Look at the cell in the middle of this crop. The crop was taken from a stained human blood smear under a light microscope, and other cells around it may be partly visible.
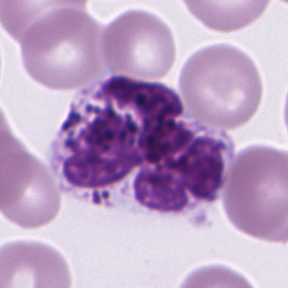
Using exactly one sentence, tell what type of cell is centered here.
The cell in the middle of the field of view is a basophil.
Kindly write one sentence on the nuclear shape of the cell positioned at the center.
Two or more lobes make up the nucleus of this cell.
